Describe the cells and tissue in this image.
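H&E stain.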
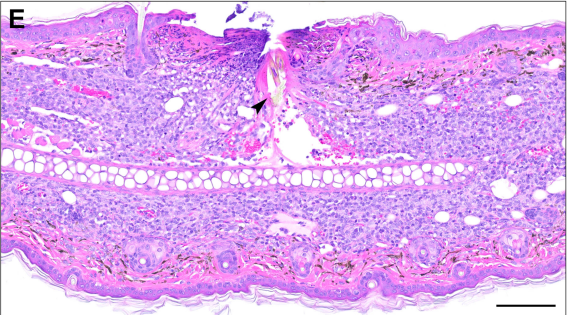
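Section of ear with a central plate of vacuolated cartilage, covered on both sides by skin whose dermis is markedly thickened by a dense infiltrate of closely packed inflammatory cells with purple nuclei. At the top the epidermis is breached, with a narrow pale pink foreign structure inserted into the dermis and dark purple cellular debris at the edges of the break. Scattered clear fat vacuoles, small red blood vessels and brown-black pigment granules lie within the infiltrated dermis.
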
